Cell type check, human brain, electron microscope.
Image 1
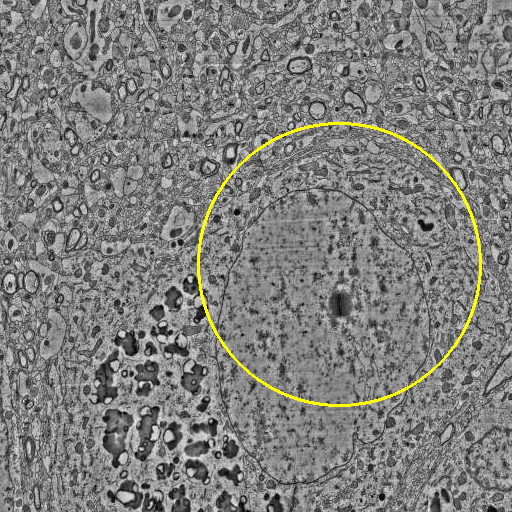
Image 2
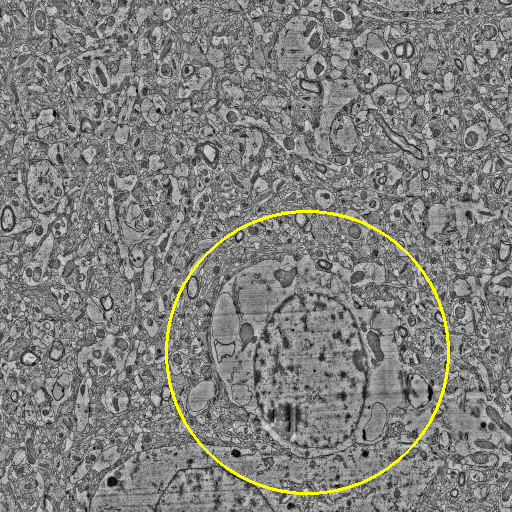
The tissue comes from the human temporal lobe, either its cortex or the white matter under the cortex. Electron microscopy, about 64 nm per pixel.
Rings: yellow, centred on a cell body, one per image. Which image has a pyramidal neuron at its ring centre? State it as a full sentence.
The ring in Image 1 is centred on it.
